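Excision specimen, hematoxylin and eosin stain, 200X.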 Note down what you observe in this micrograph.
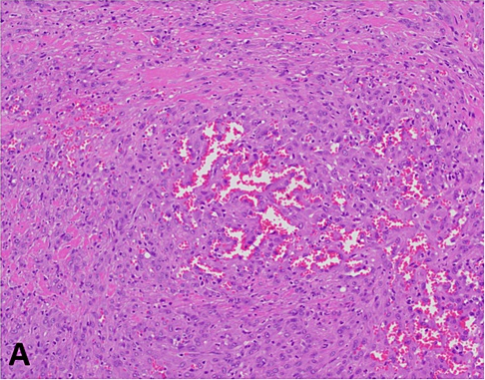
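A cellular neoplastic tissue of spindled and epithelioid cells is seen at lower magnification. Toward the edges the cells are elongated and arranged in streaming, swirling bundles with pink cytoplasm. Toward the centre the cells are plumper and surround a network of irregular, branching, cleft-like spaces. The spaces contain red erythrocytes, which also collect in smaller clefts toward the lower right. Paler pink fibrous areas lie among the cells at the upper left.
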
